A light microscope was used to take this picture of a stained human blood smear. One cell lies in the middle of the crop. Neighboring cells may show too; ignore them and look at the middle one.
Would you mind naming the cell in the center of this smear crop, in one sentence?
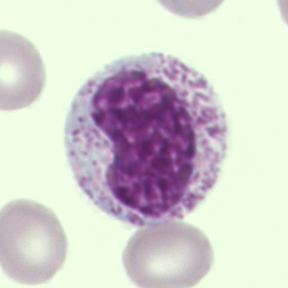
The cell at the heart of this crop is a metamyelocyte.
